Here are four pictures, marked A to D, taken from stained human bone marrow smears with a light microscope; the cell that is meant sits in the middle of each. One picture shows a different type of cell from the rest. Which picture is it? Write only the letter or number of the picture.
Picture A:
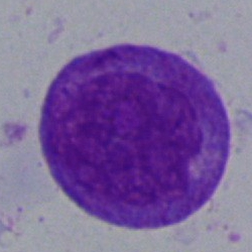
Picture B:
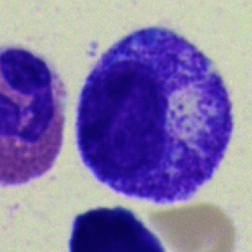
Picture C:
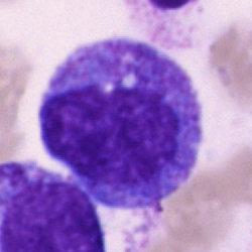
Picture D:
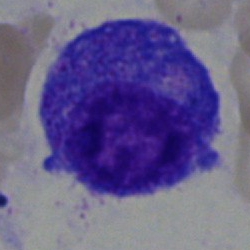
B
